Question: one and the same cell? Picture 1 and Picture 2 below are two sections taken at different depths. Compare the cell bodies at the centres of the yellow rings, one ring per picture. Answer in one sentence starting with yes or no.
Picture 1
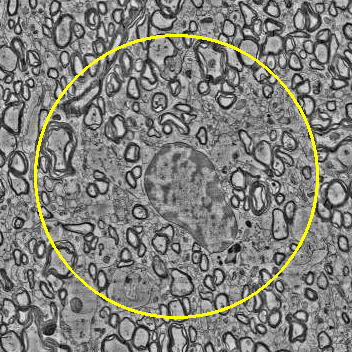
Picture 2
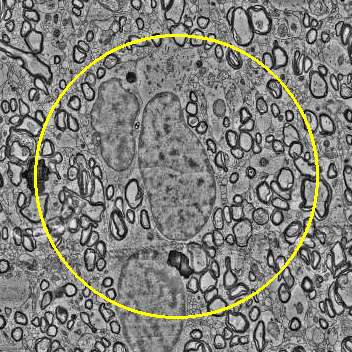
No, the yellow rings highlight two different cells in the tissue.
